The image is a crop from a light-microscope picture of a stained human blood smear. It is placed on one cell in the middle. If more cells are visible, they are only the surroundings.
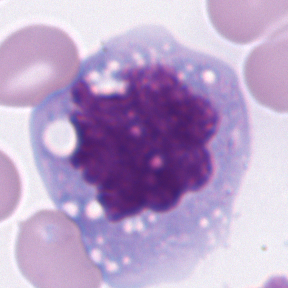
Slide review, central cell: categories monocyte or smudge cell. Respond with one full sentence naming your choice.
The central element of this crop is a cell, namely a monocyte.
